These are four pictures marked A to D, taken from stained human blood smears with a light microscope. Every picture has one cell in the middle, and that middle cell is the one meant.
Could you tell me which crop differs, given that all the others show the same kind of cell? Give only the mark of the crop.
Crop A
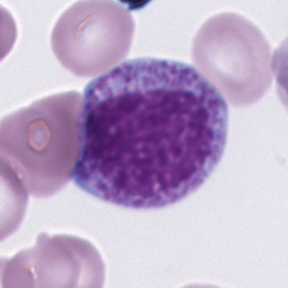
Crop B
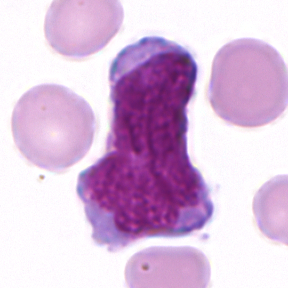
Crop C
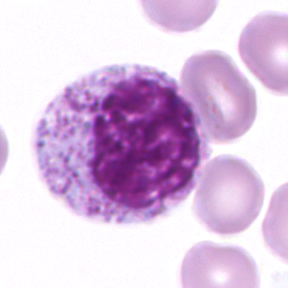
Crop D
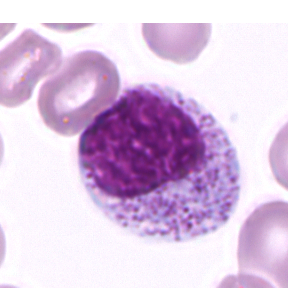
B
